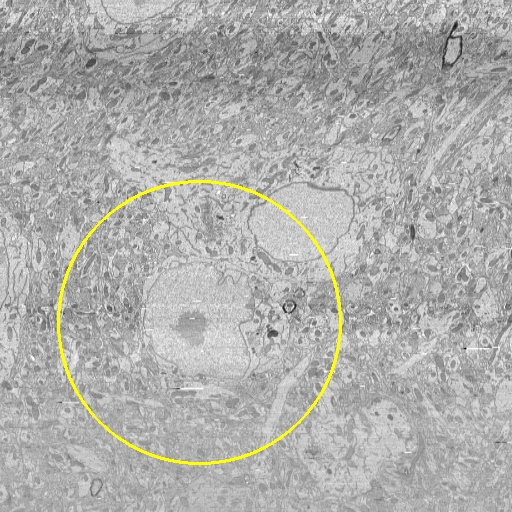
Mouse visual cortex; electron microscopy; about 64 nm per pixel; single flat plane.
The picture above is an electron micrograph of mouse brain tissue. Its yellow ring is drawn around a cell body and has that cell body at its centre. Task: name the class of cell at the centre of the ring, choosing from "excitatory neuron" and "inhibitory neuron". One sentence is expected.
The ring surrounds the body of an inhibitory neuron.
